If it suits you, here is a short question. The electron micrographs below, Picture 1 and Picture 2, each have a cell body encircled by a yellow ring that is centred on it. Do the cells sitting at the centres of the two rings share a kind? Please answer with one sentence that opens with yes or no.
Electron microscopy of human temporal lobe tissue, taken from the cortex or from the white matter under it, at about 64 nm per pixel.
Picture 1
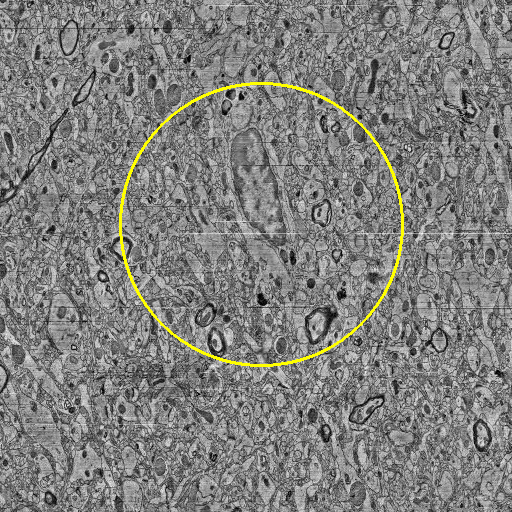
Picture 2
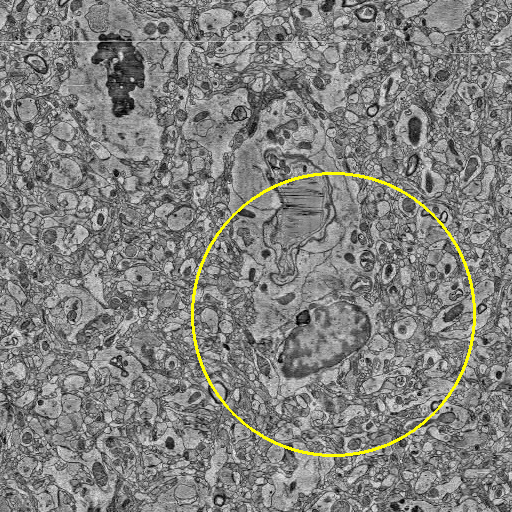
Yes, the two cells sitting at the ring centres share a single kind.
